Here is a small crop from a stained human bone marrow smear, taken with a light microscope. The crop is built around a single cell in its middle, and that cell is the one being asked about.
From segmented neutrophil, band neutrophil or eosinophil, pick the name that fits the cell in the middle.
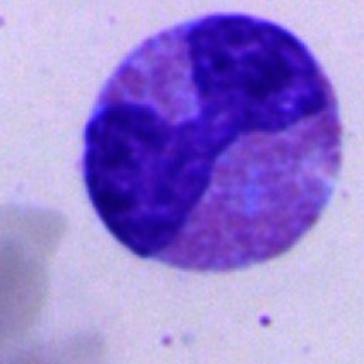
eosinophil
